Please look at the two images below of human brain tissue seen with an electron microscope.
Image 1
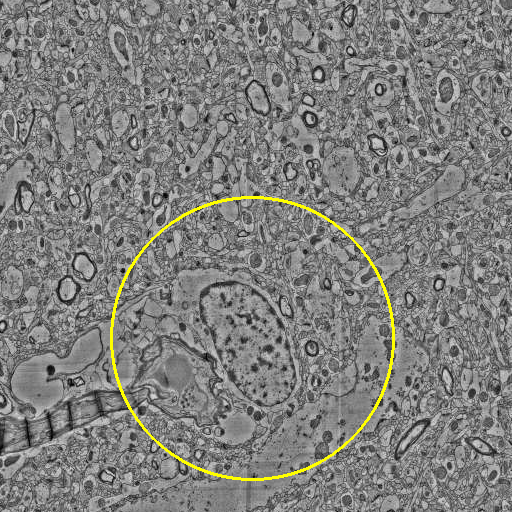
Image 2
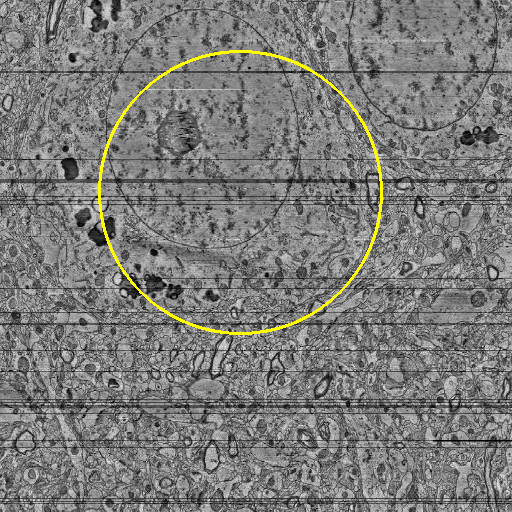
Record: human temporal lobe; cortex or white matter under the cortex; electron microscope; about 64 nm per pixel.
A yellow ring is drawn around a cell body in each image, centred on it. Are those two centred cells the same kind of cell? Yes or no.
no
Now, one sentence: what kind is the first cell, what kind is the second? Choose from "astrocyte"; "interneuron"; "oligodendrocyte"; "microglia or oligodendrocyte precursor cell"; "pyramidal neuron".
The first picture has a microglial cell or oligodendrocyte precursor cell at its ring centre, and the second has a pyramidal neuron.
